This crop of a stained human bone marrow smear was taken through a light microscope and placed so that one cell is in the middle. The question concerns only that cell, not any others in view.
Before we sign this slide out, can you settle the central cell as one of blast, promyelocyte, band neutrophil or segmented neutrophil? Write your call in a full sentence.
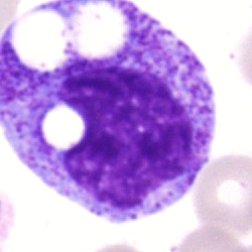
Present in the middle of the crop is a promyelocyte.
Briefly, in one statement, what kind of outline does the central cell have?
If you check the edge, you will find it smooth without projections.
